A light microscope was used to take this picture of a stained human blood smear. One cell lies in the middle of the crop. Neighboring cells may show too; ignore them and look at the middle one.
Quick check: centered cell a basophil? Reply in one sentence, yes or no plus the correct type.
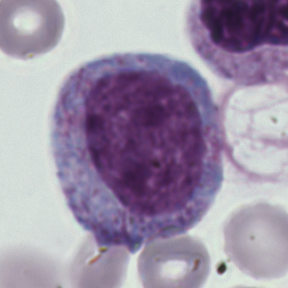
No, the central cell is not a basophil; it is a promyelocyte instead.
